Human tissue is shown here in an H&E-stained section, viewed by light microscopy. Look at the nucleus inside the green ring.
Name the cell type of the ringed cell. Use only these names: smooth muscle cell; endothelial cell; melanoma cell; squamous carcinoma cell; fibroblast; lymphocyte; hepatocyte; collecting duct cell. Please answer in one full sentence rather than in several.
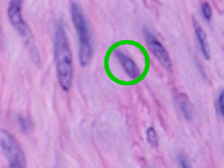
Recorded by type, the ringed cell is a smooth muscle cell.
